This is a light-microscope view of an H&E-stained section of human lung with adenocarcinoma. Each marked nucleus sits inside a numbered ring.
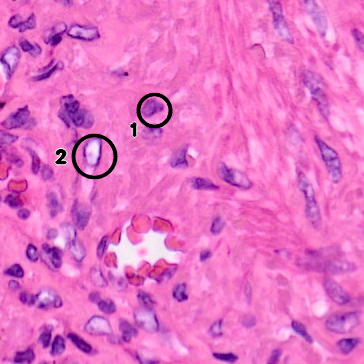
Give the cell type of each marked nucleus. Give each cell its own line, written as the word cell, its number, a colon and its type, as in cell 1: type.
cell 1: mast cell
cell 2: endothelial cell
